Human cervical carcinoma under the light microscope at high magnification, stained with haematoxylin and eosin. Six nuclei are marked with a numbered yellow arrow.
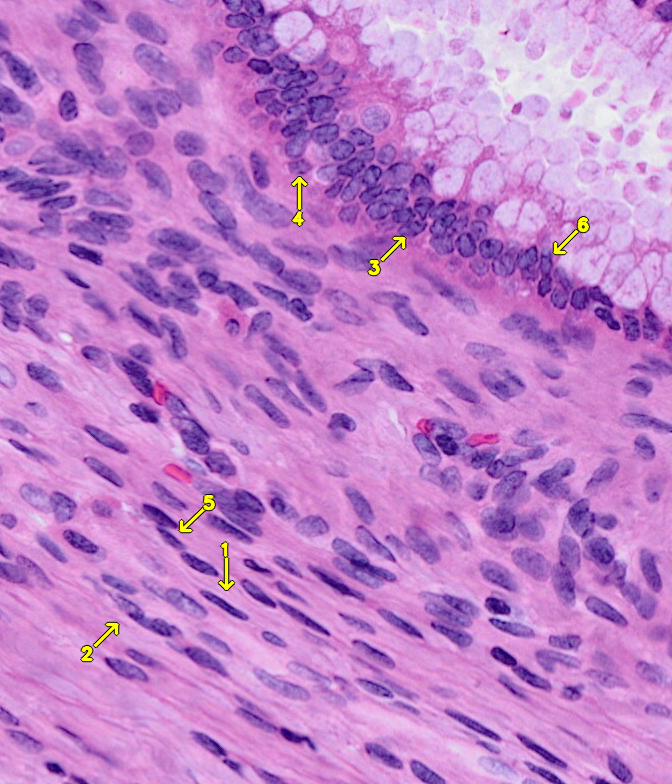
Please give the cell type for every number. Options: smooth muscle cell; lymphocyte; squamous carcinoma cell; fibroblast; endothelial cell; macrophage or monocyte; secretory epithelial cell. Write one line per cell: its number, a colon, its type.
1: fibroblast
2: fibroblast
3: secretory epithelial cell
4: secretory epithelial cell
5: fibroblast
6: secretory epithelial cell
